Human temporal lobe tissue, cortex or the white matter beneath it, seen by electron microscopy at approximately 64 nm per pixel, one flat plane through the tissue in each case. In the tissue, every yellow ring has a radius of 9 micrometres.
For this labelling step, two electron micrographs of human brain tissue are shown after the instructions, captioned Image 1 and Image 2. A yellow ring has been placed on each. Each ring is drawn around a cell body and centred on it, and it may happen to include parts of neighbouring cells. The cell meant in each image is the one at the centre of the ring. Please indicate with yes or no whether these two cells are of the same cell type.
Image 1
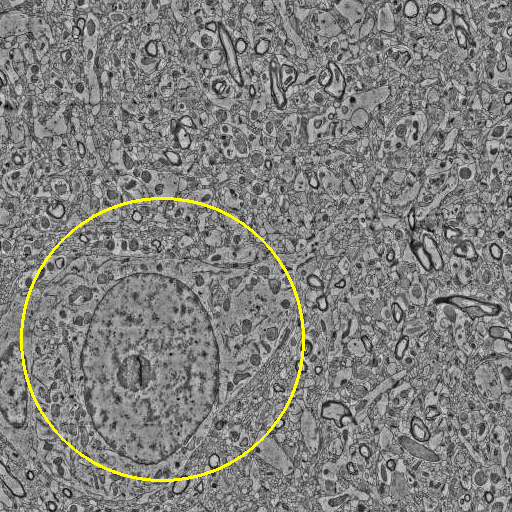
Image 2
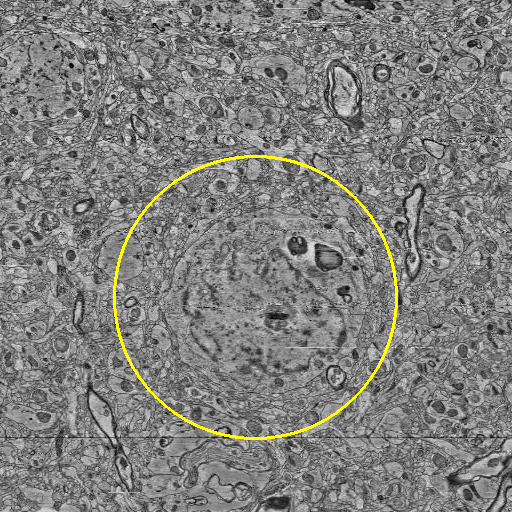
yes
